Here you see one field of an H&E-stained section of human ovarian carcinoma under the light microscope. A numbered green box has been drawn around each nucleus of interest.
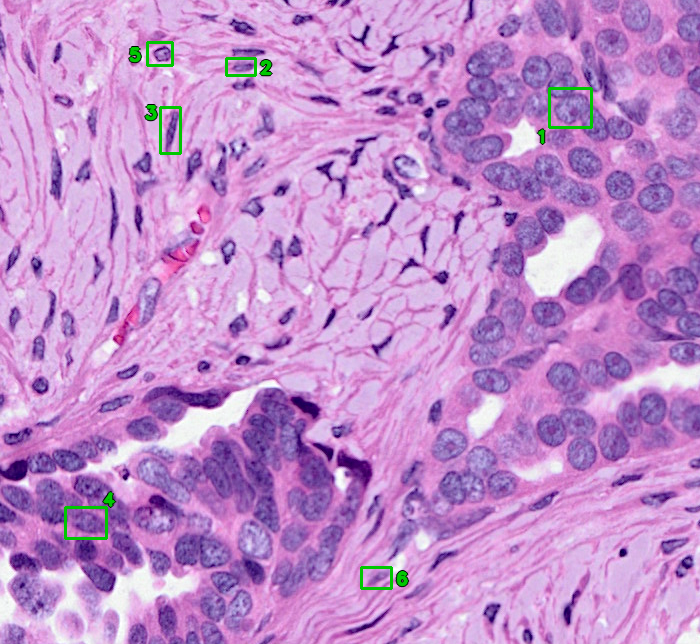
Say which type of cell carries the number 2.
fibroblast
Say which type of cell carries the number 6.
fibroblast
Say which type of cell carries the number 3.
fibroblast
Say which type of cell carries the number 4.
carcinoma cell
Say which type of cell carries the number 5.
macrophage or monocyte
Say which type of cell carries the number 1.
carcinoma cell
